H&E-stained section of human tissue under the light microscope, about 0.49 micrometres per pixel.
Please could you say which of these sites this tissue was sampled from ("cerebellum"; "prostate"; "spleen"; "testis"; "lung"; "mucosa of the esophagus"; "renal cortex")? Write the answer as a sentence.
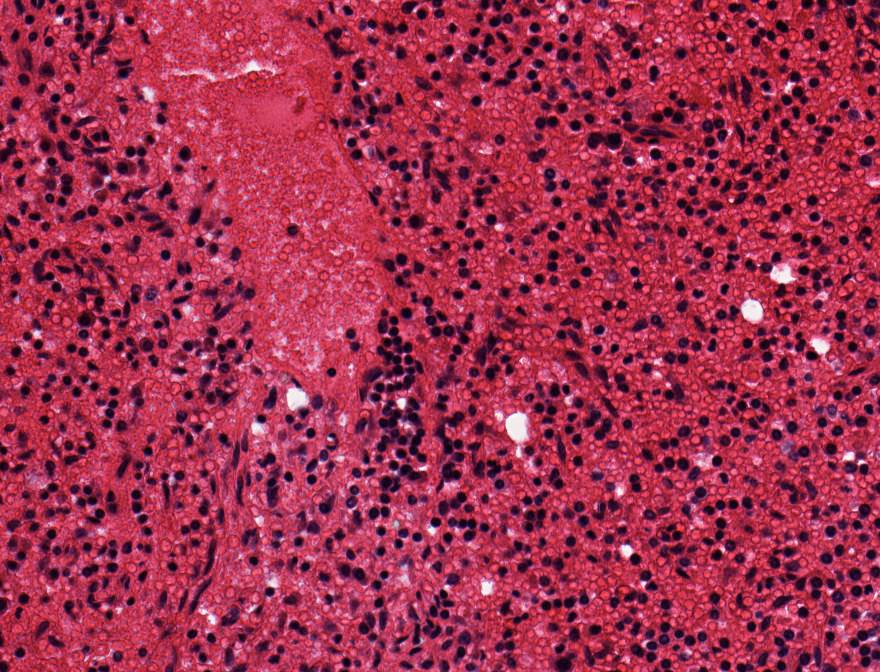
The site this tissue was sampled from is the spleen.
